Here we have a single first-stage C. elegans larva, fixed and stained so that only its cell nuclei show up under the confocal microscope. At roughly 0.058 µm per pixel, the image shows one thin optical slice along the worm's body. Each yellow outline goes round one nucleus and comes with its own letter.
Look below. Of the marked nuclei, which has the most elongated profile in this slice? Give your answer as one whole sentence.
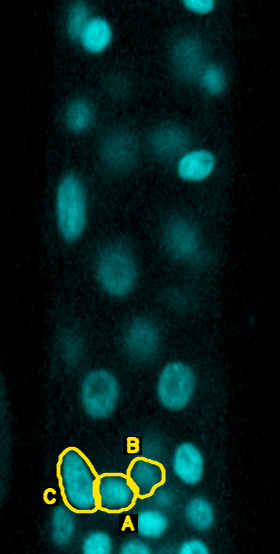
C is the most elongated.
